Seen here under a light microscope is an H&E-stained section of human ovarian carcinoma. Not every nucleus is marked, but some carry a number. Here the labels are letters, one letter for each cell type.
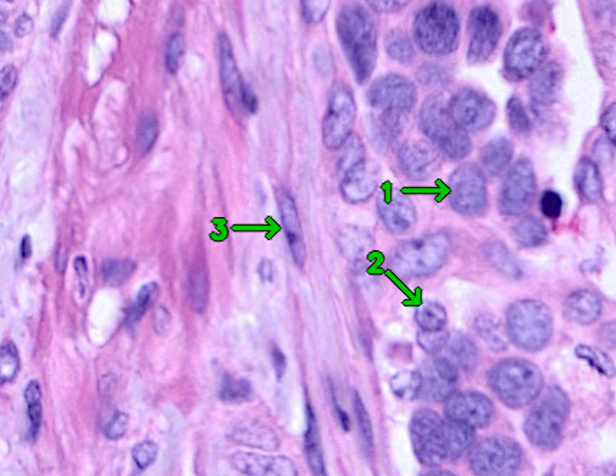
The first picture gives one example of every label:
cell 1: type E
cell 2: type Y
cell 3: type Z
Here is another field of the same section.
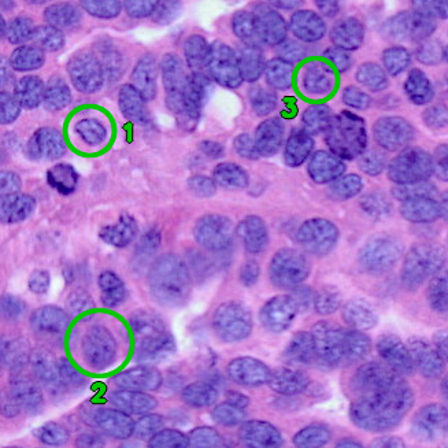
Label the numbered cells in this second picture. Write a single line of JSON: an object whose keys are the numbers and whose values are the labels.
{"1": "type Y", "2": "type E", "3": "type E"}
